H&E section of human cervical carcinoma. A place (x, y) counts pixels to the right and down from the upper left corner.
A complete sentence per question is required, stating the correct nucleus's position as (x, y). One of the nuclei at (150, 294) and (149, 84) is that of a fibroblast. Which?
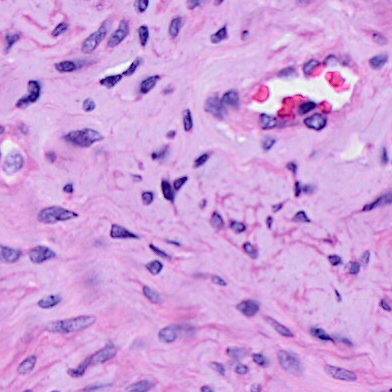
The nucleus at (149, 84) is the member of the pair belonging to a fibroblast.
